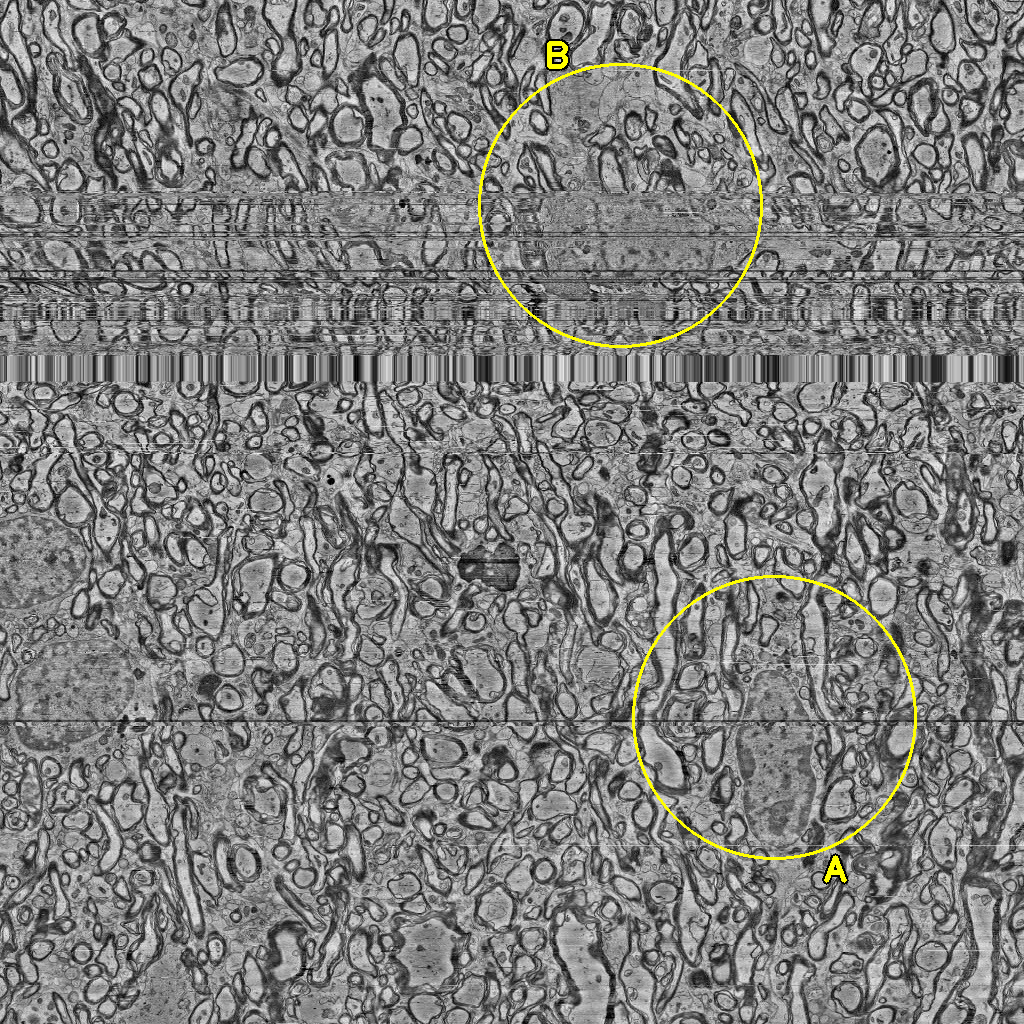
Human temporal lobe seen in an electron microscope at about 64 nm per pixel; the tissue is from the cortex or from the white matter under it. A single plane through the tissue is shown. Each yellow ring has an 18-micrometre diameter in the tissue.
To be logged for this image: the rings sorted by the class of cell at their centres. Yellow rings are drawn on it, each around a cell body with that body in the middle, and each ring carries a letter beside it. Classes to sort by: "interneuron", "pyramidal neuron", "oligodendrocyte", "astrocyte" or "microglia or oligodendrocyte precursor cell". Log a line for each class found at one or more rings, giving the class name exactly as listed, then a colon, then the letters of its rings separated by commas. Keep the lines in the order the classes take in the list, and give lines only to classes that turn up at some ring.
astrocyte: B
microglia or oligodendrocyte precursor cell: A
